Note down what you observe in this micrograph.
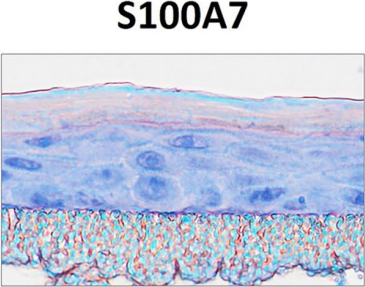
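Stratified epidermis of keratinocytes resting on a porous support membrane. The lower and middle layers hold large, rounded to polygonal cells with oval blue nuclei and pale blue cytoplasm; some nuclei show visible nucleoli. Toward the surface the cells flatten and their nuclei become thin and elongated or vanish, ending in a thin, compact surface layer lying parallel to the support. Reddish-brown staining is faint and confined mostly to the uppermost flattened layers. Beneath the epithelium the support appears as a meshwork of small rounded pores with a multicoloured texture.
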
